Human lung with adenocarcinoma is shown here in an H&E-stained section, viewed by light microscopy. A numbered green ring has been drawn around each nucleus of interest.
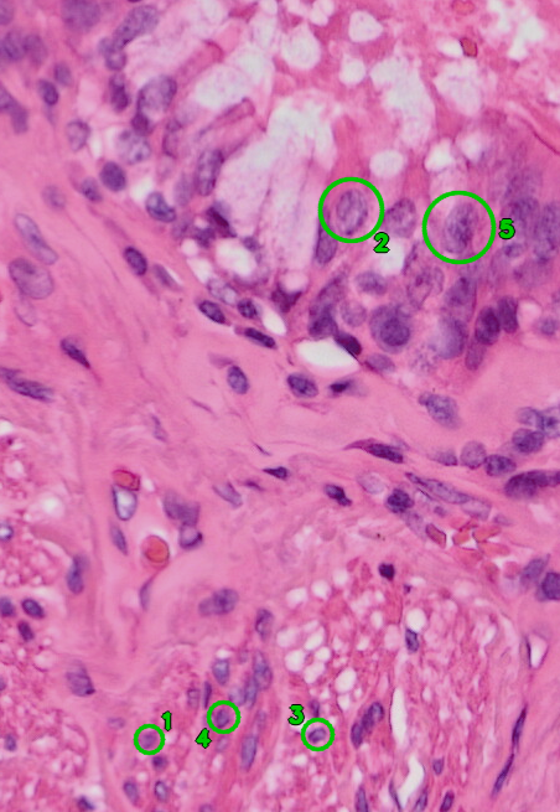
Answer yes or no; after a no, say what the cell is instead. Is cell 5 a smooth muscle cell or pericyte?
No, it is a ciliated epithelial cell.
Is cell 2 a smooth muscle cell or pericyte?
No, it is a ciliated epithelial cell.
